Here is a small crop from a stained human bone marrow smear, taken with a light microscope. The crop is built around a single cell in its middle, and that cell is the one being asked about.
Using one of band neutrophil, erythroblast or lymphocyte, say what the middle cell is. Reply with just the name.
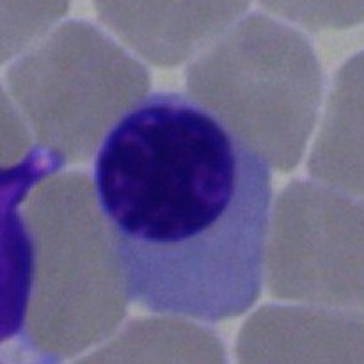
erythroblast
